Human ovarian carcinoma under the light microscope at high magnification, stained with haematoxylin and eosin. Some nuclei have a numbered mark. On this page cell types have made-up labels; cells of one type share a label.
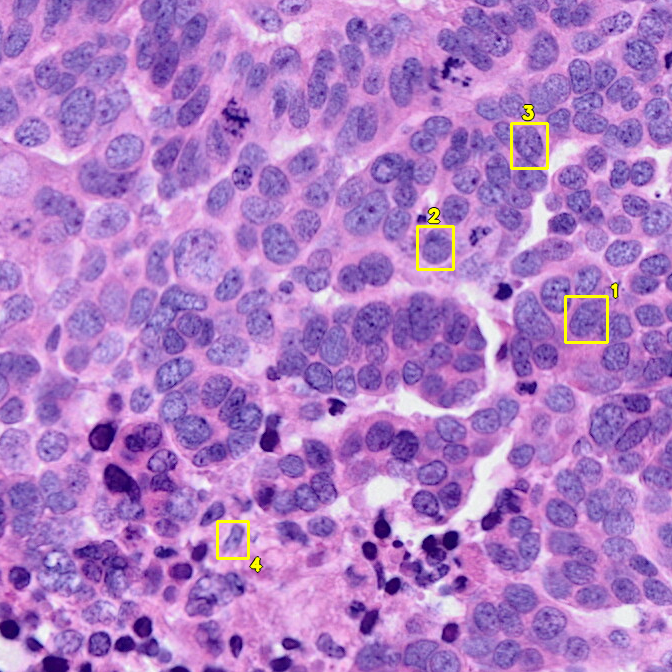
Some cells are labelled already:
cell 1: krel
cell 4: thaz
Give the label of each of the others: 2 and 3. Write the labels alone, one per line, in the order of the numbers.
krel
krel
